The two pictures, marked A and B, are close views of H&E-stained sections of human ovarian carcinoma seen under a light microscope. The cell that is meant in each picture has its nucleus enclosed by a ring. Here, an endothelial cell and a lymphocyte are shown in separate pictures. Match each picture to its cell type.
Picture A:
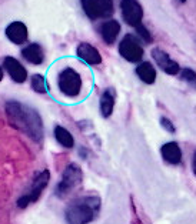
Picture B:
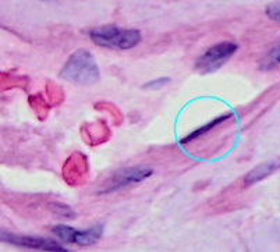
A: lymphocyte
B: endothelial cell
